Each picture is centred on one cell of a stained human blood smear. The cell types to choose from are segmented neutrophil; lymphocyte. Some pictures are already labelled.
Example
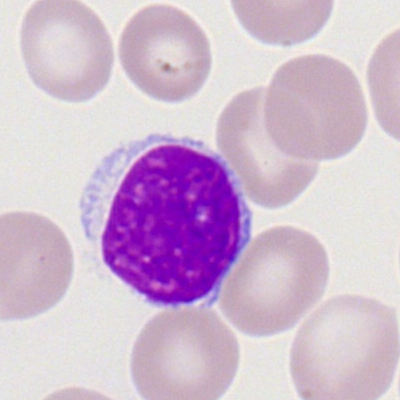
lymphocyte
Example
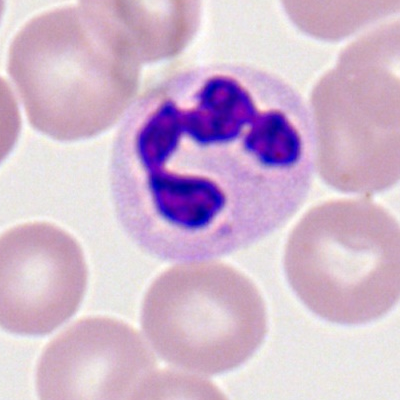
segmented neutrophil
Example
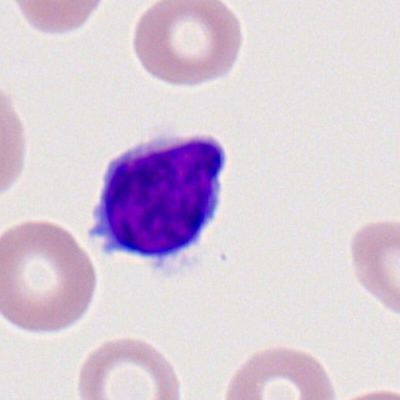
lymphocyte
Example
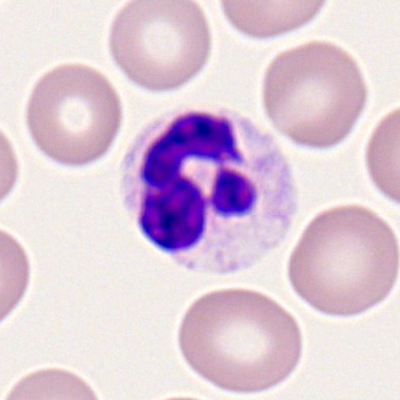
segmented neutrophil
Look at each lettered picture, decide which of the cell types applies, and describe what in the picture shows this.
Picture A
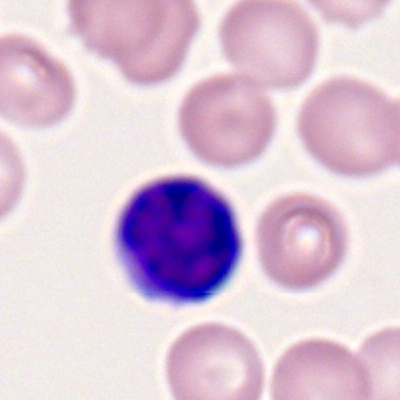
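Answer: lymphocyte. The nucleus fills almost the whole cell.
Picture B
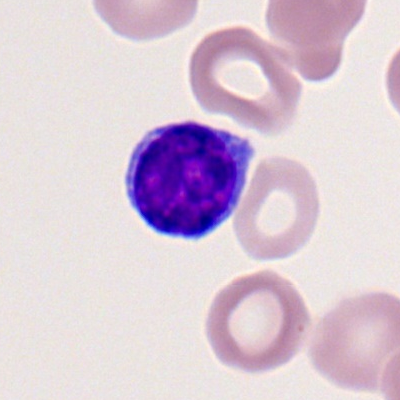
Answer: lymphocyte. The cytoplasm forms only a thin rim around the nucleus.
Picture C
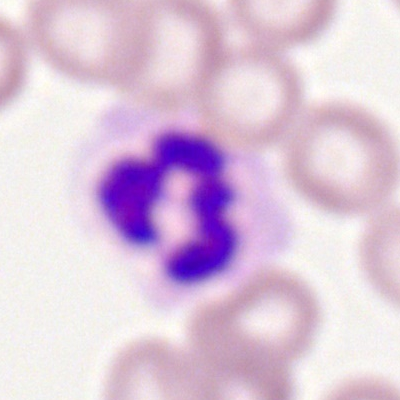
Answer: segmented neutrophil. The lobes curve around a small pale central patch of cytoplasm.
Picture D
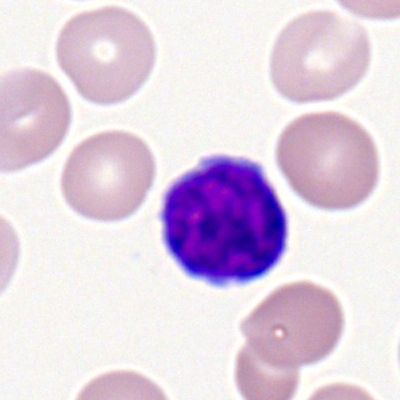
Answer: lymphocyte. The nucleus fills almost the whole cell, leaving at most a very thin rim of cytoplasm.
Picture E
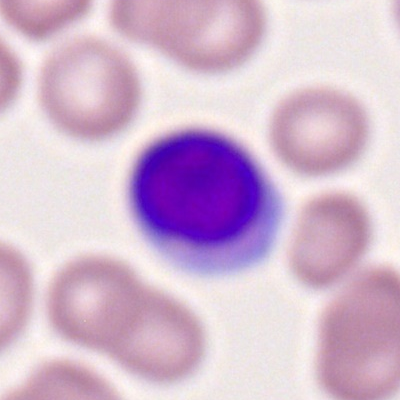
Answer: lymphocyte. The nucleus fills most of the cell.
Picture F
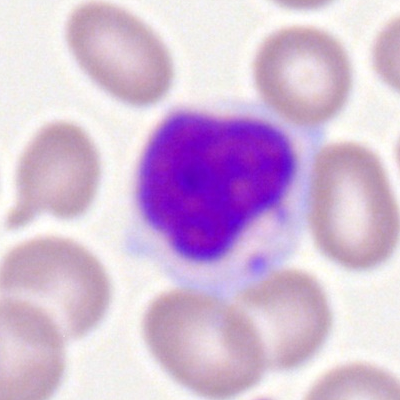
Answer: lymphocyte. The nucleus fills most of the cell.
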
